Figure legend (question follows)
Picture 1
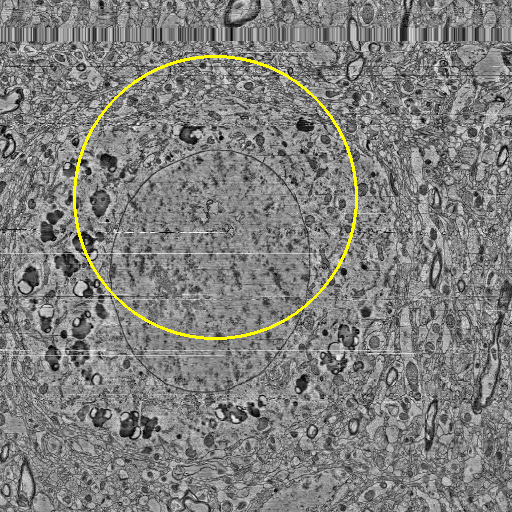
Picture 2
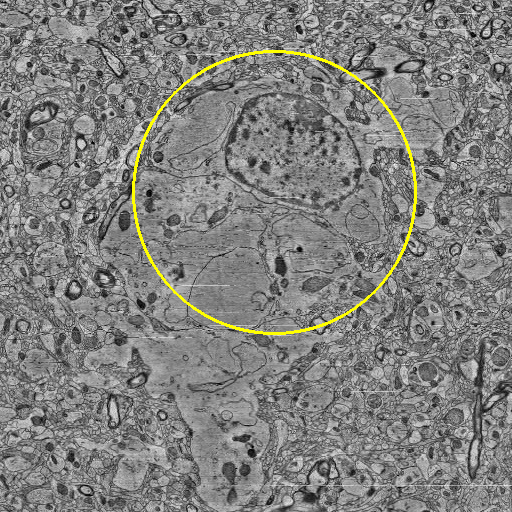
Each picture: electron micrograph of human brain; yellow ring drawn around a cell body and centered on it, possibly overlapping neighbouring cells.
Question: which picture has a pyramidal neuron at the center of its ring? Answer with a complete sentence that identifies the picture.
Picture 1 has it at the center of its ring.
